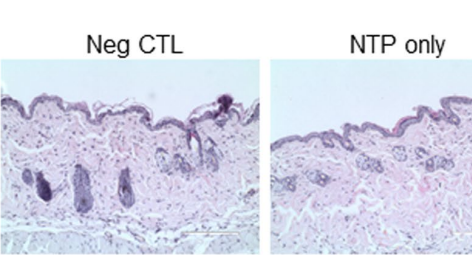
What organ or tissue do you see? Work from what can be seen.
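Skin. A thin purple surface epithelium lies over a pink fibrous layer. Hair follicles run down into the pink connective tissue. The surface is covered by a keratin layer.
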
